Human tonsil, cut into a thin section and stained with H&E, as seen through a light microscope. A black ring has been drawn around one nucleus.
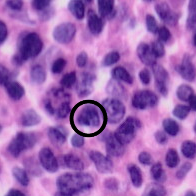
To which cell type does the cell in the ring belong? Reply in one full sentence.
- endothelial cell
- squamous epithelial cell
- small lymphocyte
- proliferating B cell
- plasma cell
In this preparation, the cell in the ring is a proliferating B cell.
